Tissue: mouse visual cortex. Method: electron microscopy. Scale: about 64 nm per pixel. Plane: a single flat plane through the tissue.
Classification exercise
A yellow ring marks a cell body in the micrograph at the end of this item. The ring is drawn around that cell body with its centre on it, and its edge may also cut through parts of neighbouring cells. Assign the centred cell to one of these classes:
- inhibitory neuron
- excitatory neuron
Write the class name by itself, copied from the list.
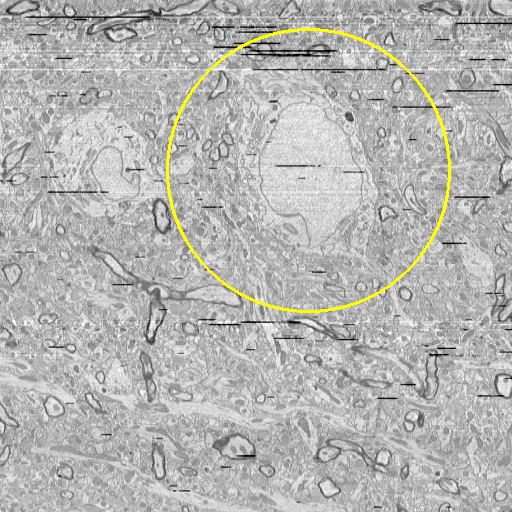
inhibitory neuron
